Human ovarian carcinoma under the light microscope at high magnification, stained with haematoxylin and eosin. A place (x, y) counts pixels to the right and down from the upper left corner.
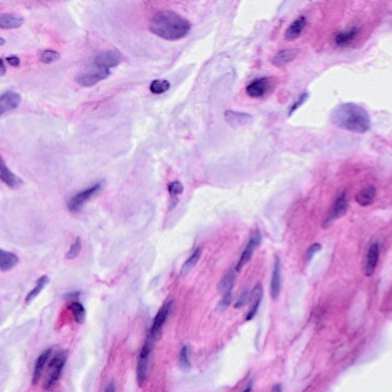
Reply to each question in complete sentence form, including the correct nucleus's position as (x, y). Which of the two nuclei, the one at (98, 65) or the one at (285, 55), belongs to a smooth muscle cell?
Which one belongs to a smooth muscle cell? The nucleus at (285, 55) does.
